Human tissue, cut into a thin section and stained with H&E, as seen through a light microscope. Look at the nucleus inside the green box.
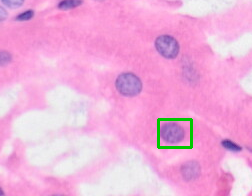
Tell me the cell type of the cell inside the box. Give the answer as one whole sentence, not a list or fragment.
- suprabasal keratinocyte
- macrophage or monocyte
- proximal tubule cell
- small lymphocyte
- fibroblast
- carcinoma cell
Assigned to a cell type, the cell inside the box is a proximal tubule cell.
